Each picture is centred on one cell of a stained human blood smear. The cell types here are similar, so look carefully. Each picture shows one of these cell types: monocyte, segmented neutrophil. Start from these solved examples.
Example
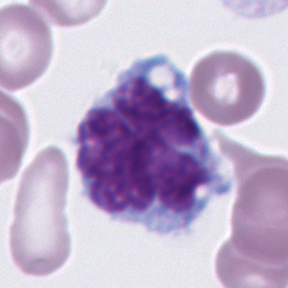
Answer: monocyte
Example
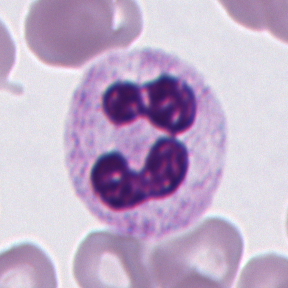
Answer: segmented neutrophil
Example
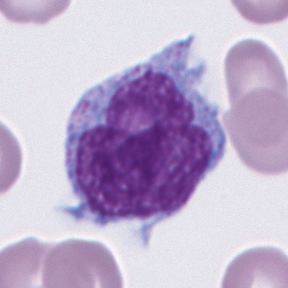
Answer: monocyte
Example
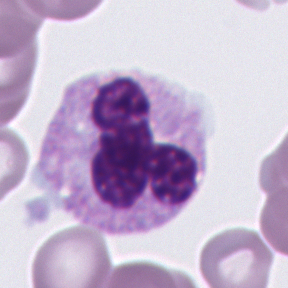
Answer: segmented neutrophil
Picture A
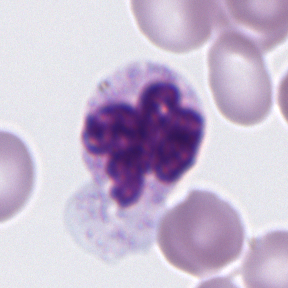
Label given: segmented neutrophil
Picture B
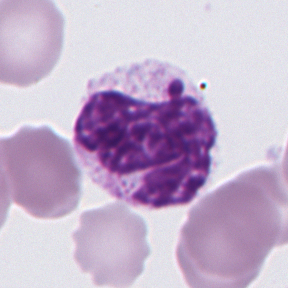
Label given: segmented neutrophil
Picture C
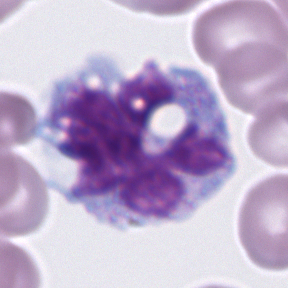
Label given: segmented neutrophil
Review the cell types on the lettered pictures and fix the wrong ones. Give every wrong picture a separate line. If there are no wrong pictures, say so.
C: monocyte, not segmented neutrophil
